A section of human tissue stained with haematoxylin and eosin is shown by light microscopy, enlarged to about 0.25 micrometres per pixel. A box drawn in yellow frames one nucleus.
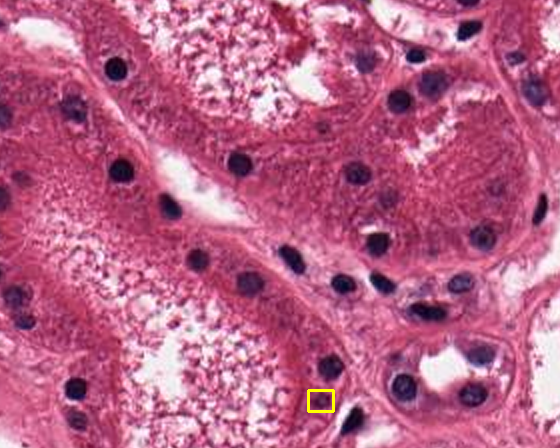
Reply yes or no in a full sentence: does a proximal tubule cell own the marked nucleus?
Yes, it is a proximal tubule cell to which the marked nucleus belongs.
